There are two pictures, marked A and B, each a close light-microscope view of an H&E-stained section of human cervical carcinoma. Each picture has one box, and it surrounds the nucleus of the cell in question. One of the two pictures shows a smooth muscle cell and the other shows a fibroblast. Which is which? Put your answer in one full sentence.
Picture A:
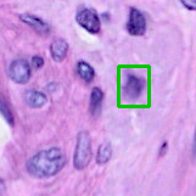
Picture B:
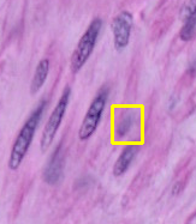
Picture A is of a fibroblast, and picture B is of a smooth muscle cell.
